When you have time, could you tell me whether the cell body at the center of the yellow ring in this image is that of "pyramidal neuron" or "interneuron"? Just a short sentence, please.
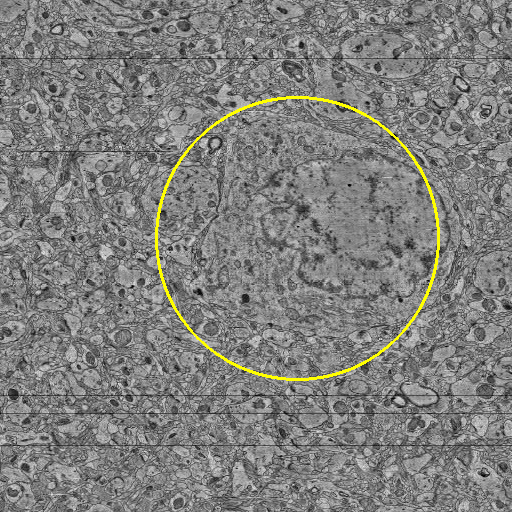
The cell body at the center of the ring is that of an interneuron.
